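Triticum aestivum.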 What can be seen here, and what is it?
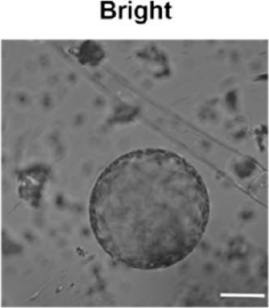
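Having lost its wall, the cell is a perfect sphere, bounded by a thin dark rim. Its interior is filled with fine granular cytoplasm and small dense bodies. A long strip of plant tissue crosses the field behind it.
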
